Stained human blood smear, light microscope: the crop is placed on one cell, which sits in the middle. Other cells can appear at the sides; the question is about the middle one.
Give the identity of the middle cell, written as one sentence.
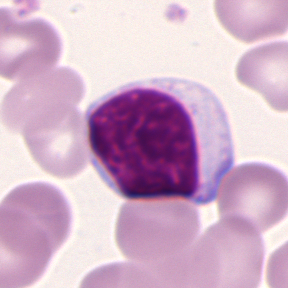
The cell in the middle of the field of view is a large granular lymphocyte.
